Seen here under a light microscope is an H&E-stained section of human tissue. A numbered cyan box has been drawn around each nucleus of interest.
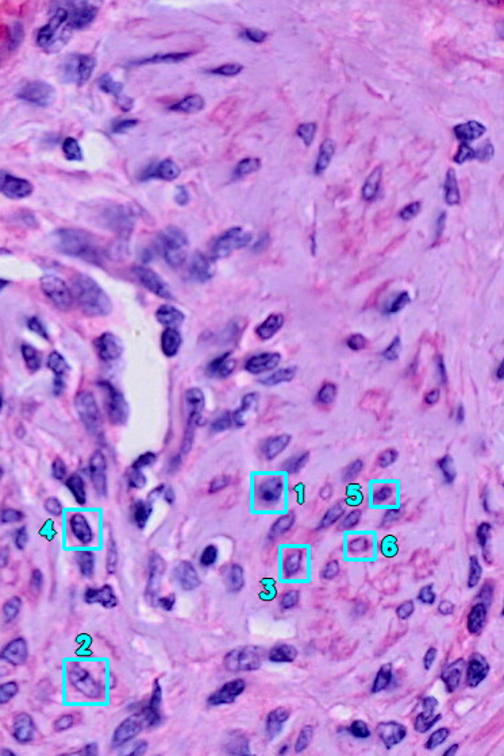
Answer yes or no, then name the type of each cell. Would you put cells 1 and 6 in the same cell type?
No, a lymphocyte is what cell 1 is, and a smooth muscle cell is what cell 6 is.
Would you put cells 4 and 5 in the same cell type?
No, cell 4 is a lymphocyte, and cell 5, in contrast, is a smooth muscle cell.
